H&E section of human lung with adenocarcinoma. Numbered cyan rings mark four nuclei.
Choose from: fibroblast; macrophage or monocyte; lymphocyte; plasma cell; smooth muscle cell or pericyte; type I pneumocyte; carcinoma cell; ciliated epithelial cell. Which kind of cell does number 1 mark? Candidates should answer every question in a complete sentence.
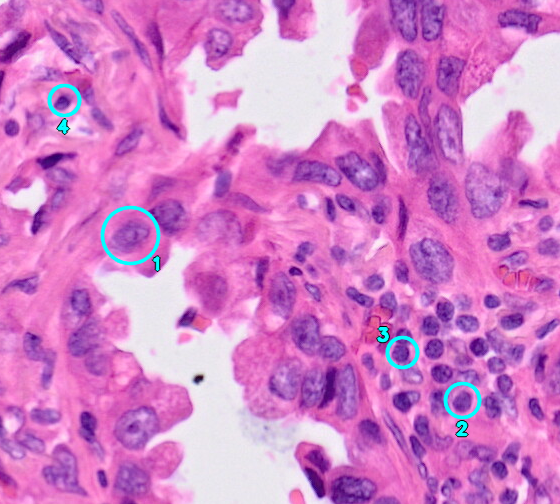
The numbered cell 1 is identified here as a carcinoma cell.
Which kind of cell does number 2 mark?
The cell tagged with 2 in this tissue section is a lymphocyte.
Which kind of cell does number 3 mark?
At number 3, the marked cell is a lymphocyte.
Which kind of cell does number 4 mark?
Among the marked cells, number 4 is a lymphocyte.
